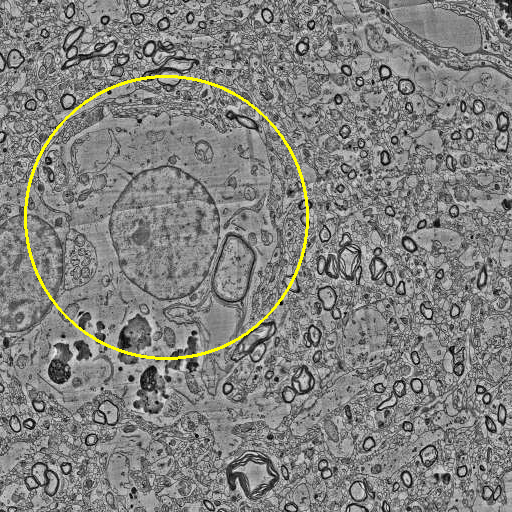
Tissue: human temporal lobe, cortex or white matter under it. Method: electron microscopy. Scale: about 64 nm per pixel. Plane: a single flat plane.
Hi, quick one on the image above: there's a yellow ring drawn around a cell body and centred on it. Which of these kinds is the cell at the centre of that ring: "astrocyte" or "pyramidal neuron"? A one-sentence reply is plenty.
The cell at the centre of the ring is an astrocyte.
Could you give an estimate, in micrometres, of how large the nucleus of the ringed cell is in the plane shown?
About 9 by 7 micrometres in this plane.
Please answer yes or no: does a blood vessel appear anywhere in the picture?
Yes, one appears.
